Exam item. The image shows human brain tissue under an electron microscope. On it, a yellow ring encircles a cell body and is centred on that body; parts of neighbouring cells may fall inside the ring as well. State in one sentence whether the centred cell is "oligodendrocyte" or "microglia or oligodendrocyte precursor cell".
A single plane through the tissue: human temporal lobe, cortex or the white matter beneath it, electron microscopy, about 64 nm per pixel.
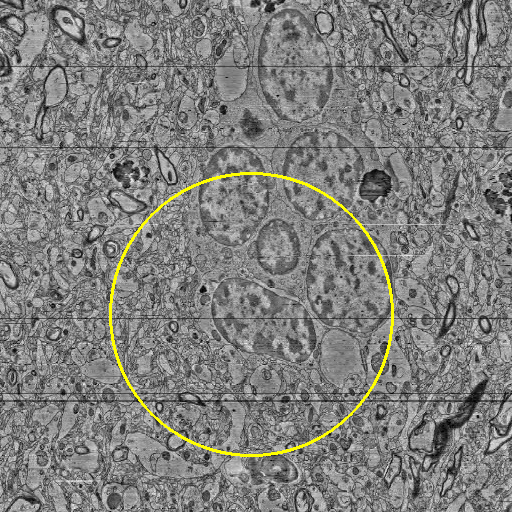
The cell body centred in the ring is a microglial cell or oligodendrocyte precursor cell.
